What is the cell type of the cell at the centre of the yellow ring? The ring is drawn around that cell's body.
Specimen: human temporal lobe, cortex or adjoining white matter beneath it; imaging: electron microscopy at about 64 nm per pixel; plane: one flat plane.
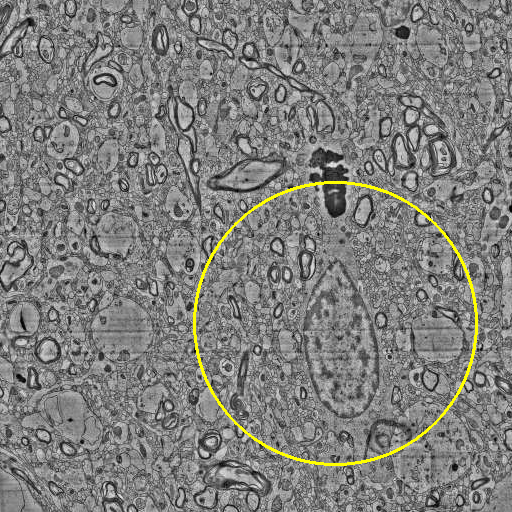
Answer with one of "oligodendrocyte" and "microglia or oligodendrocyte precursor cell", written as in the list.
oligodendrocyte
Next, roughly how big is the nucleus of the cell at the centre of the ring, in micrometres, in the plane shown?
In this plane, approximately 9 by 5 micrometers, and clearly longer than it is wide.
